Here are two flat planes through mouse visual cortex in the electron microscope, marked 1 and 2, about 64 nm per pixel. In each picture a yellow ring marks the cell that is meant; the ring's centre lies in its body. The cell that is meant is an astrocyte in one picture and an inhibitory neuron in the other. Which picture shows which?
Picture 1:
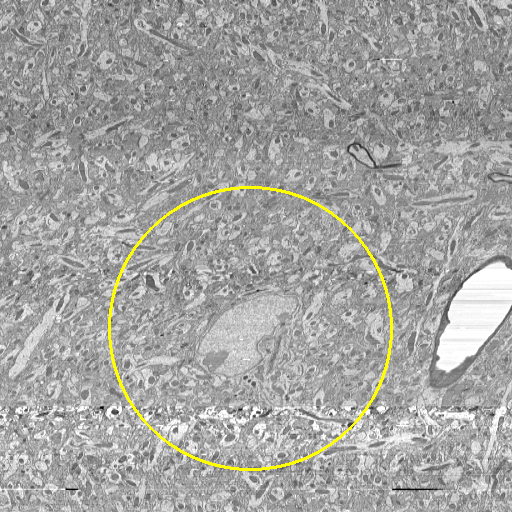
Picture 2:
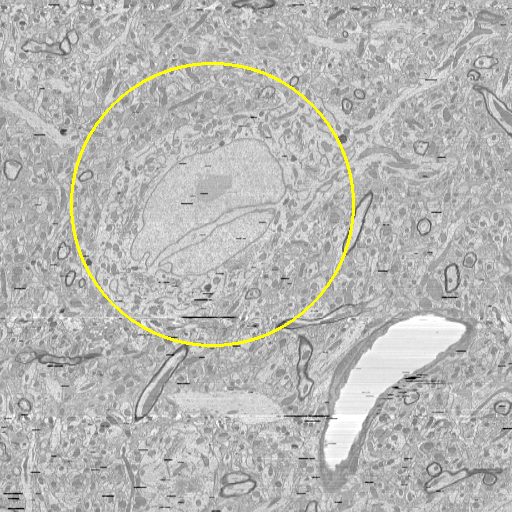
It is picture 1 that shows an astrocyte, and picture 2 that shows an inhibitory neuron.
